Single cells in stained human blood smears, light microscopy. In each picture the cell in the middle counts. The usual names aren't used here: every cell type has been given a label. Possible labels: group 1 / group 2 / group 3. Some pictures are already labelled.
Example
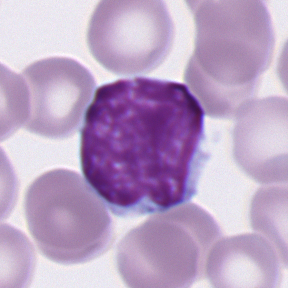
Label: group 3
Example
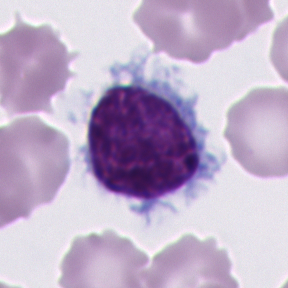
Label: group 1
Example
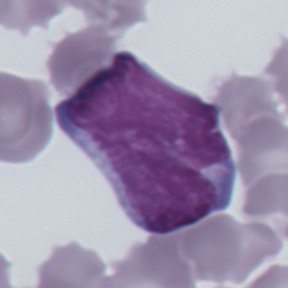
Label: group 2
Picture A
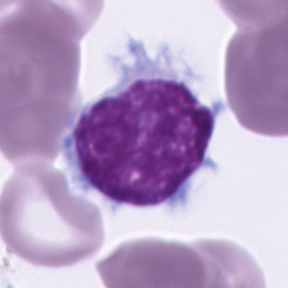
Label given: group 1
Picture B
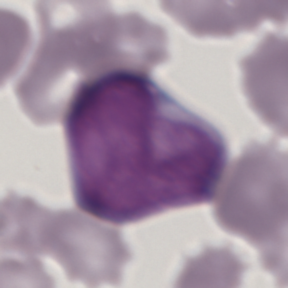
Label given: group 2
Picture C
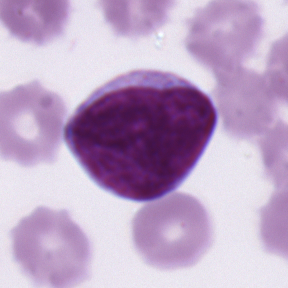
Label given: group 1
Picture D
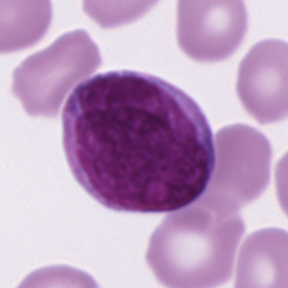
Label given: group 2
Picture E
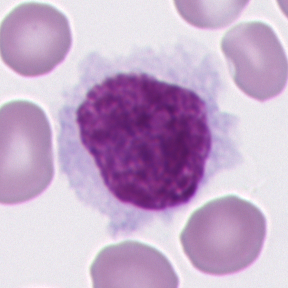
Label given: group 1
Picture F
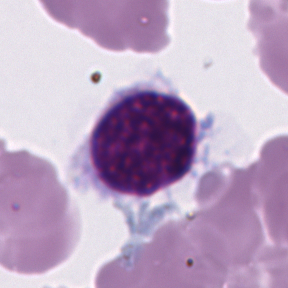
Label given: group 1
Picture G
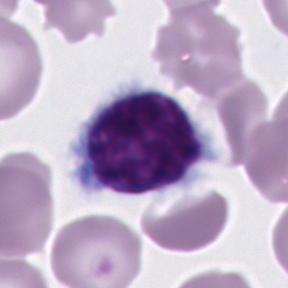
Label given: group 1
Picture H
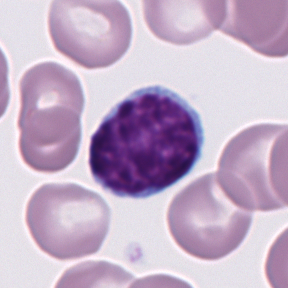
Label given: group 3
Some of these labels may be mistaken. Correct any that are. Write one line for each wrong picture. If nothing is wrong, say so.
C: change group 1 to group 2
